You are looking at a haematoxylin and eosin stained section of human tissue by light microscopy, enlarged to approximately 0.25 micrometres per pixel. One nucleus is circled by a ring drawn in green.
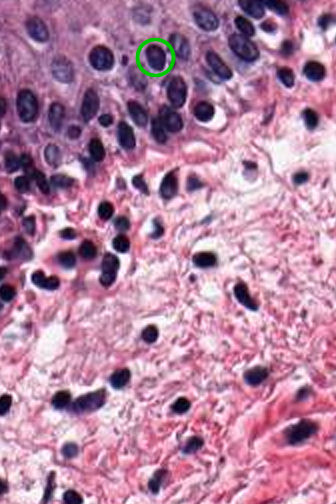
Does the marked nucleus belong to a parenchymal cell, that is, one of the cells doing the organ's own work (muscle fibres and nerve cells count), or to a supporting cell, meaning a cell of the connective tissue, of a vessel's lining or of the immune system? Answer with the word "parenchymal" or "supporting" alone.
parenchymal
